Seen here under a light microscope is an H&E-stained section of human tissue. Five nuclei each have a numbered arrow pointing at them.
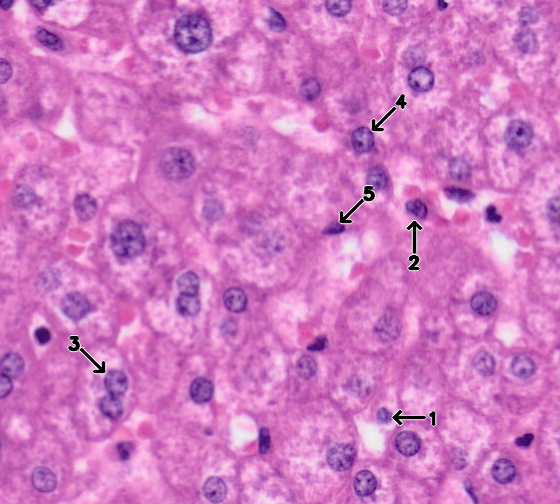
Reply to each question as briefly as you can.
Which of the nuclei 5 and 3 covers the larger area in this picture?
3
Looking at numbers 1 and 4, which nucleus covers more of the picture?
4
